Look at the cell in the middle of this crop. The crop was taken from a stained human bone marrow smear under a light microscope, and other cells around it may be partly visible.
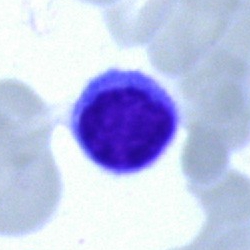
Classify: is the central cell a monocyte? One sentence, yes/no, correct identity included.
No, in this crop the central cell is a lymphocyte instead of a monocyte.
